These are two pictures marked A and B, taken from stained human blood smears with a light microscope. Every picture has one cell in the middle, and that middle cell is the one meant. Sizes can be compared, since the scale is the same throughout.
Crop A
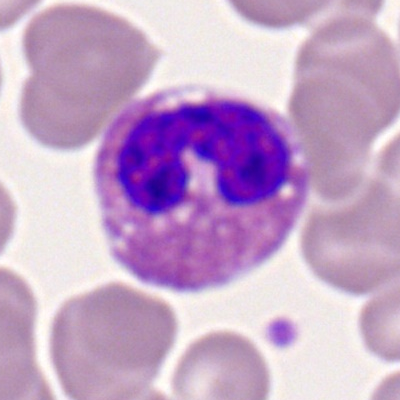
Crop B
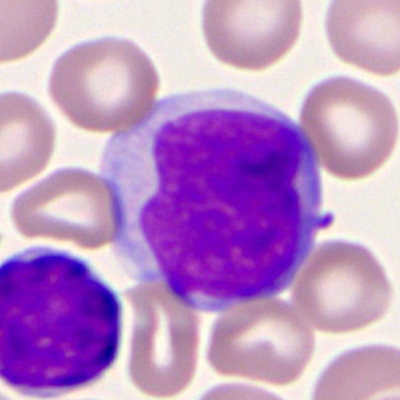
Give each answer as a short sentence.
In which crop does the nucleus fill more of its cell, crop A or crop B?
In crop B the nucleus takes up the larger part of its cell.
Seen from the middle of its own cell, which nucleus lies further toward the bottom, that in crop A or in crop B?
The nucleus in crop B lies further toward the bottom of its cell.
